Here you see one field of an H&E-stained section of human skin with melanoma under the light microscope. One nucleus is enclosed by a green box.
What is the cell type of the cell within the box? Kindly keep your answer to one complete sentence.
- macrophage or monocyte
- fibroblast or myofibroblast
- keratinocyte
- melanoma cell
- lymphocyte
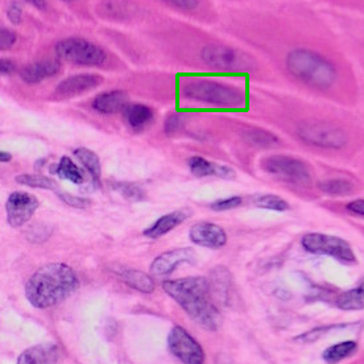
As for its identity, the cell within the box is a keratinocyte.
